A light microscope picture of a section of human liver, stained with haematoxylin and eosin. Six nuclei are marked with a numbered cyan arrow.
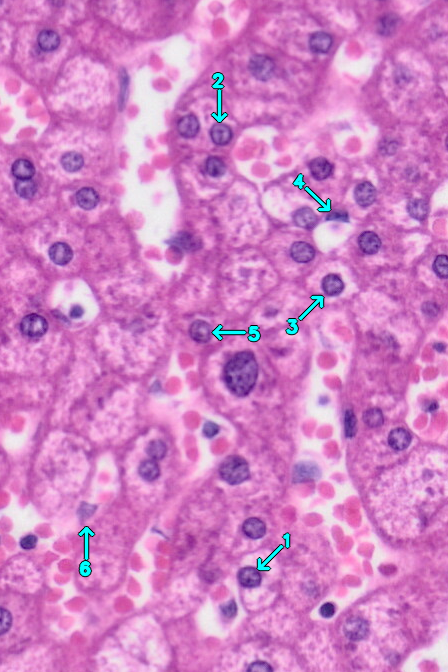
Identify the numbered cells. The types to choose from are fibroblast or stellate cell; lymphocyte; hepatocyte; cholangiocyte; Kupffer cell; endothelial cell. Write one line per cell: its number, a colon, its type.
1: hepatocyte
2: hepatocyte
3: hepatocyte
4: endothelial cell
5: hepatocyte
6: endothelial cell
